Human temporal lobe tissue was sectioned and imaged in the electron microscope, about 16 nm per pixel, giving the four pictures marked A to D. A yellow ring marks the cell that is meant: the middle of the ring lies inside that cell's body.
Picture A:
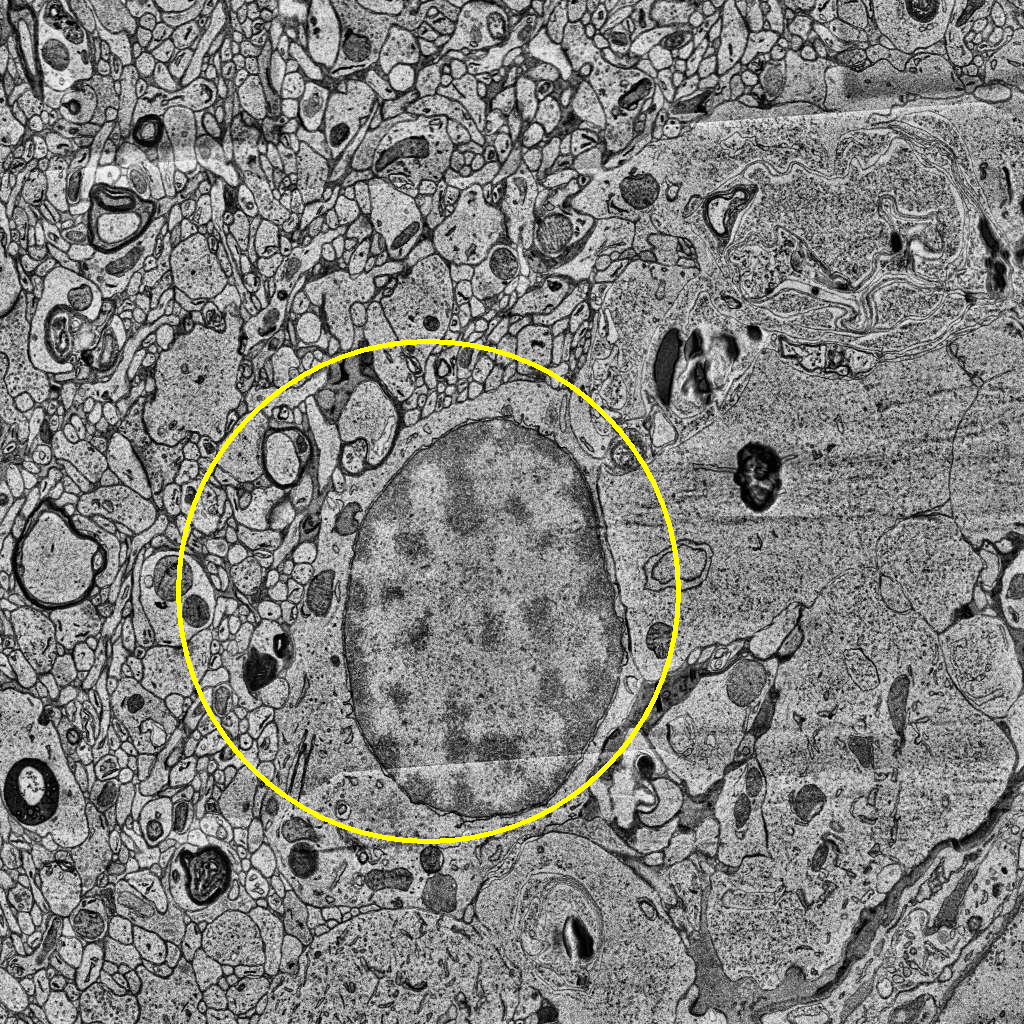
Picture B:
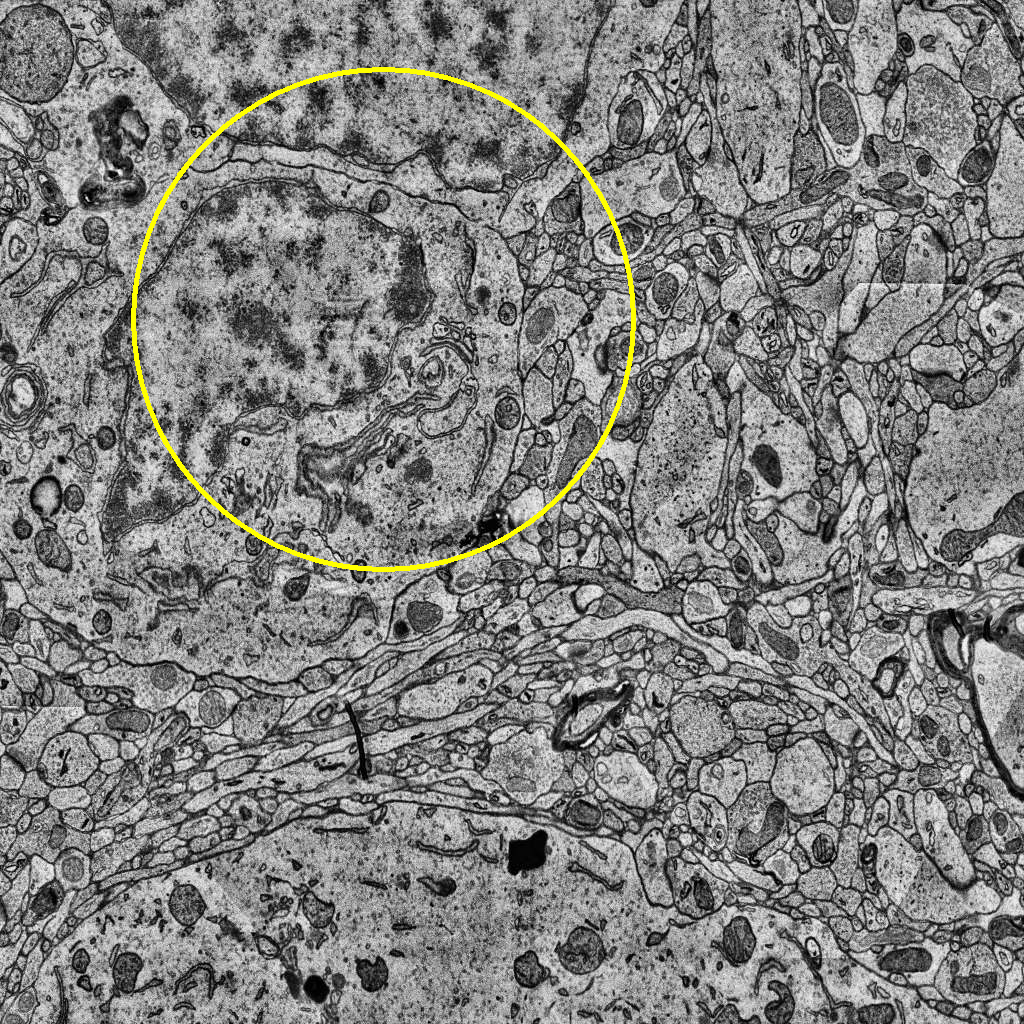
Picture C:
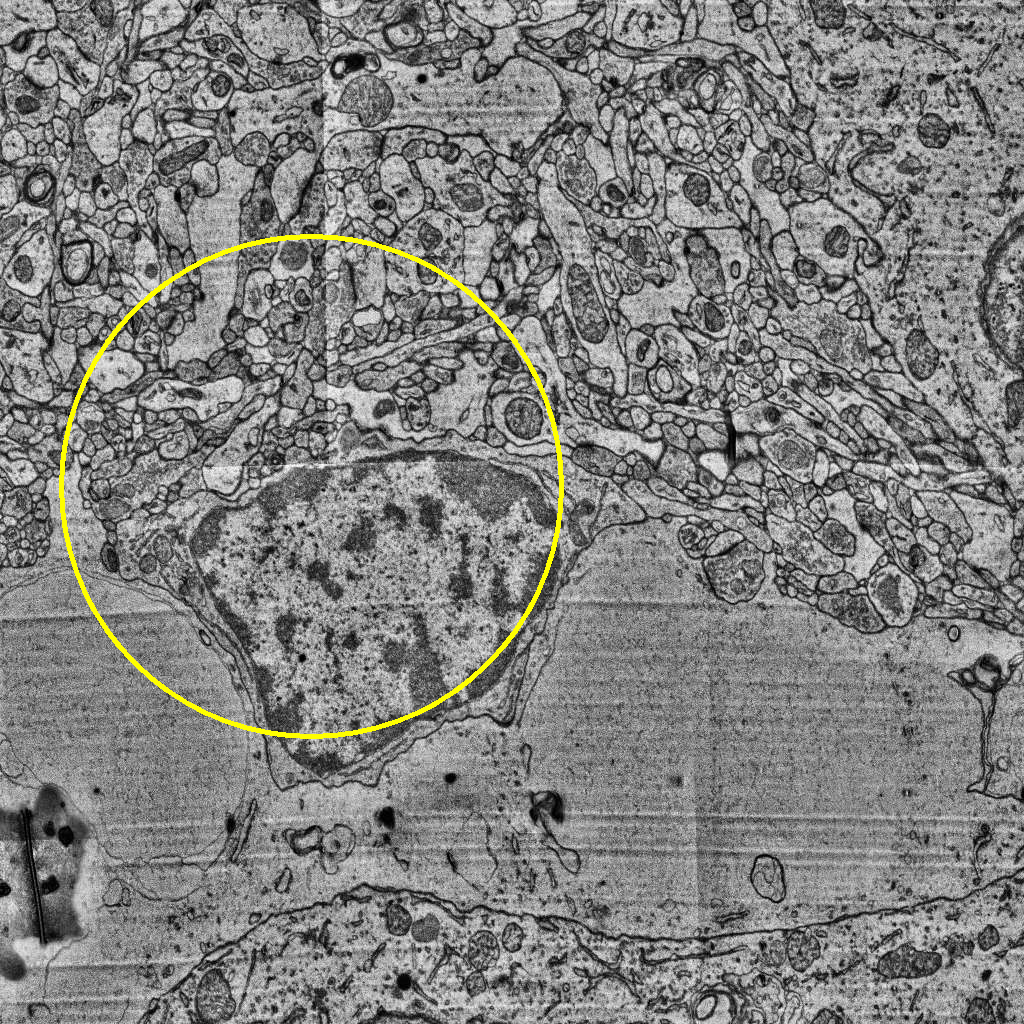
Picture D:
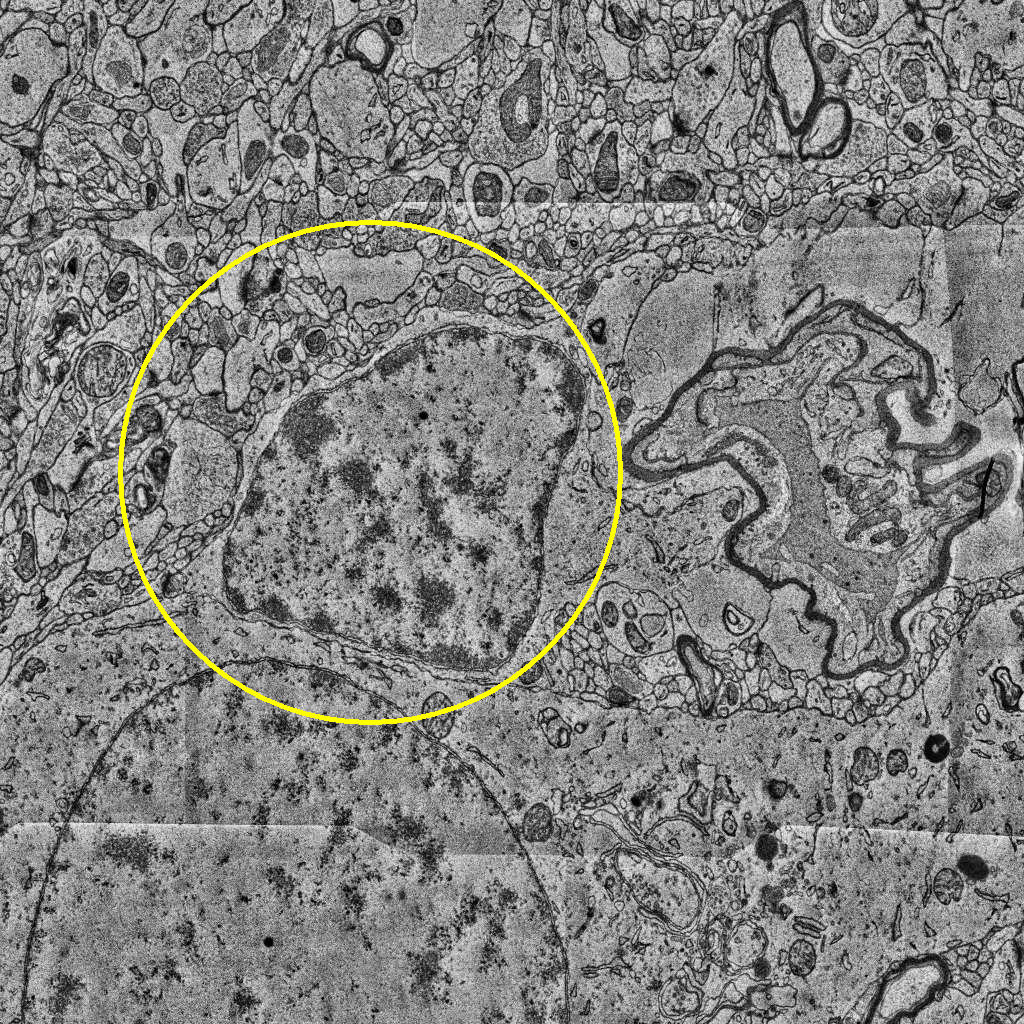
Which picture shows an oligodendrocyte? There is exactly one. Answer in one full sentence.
The cell in picture A is the oligodendrocyte.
